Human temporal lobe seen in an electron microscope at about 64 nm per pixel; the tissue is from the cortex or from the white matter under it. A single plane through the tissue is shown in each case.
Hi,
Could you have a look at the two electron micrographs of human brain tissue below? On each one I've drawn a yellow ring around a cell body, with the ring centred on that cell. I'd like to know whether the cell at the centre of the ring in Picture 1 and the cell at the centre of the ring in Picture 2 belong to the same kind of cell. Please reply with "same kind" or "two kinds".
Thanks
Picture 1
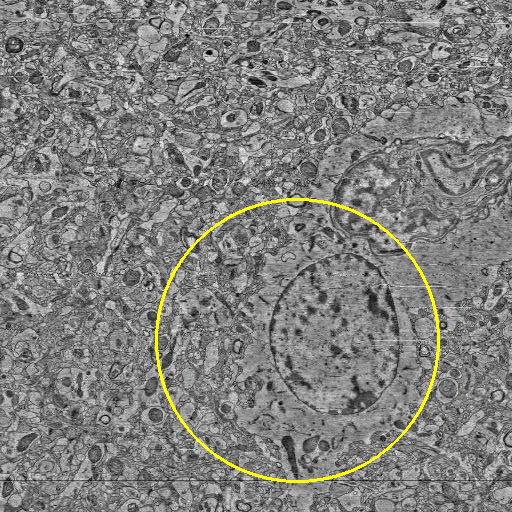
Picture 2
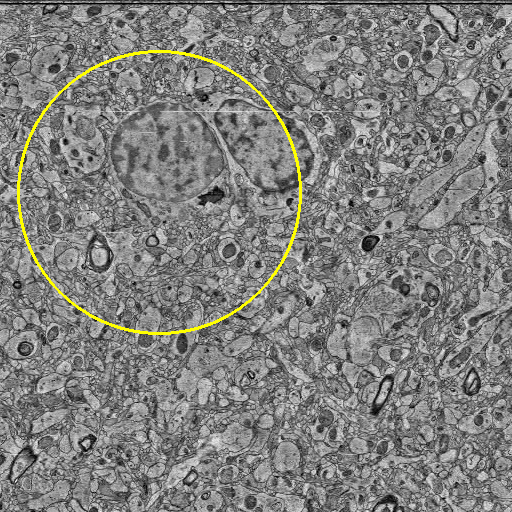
two kinds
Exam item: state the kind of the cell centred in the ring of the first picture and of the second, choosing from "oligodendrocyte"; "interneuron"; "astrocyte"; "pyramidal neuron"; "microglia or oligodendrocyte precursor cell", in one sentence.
The first picture shows an astrocyte at the ring centre and the second shows an oligodendrocyte.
